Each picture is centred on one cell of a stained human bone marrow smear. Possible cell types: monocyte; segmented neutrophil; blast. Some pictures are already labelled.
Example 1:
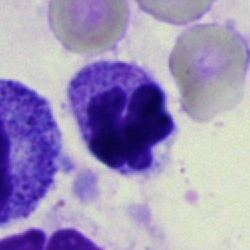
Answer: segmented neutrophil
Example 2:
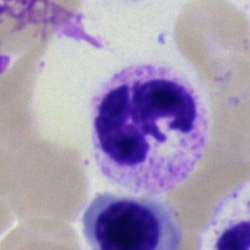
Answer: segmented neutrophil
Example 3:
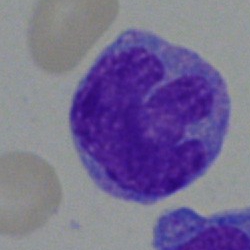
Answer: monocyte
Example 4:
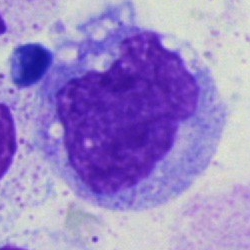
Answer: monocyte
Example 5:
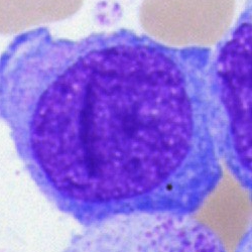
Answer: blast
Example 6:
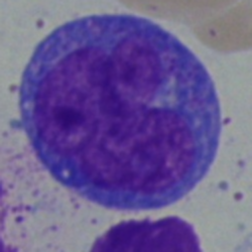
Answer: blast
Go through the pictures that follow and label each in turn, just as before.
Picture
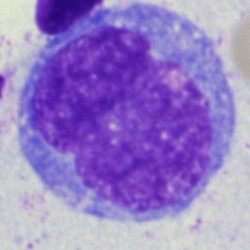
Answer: monocyte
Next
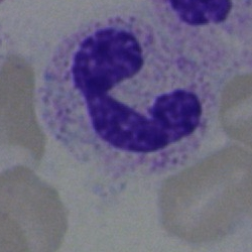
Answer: segmented neutrophil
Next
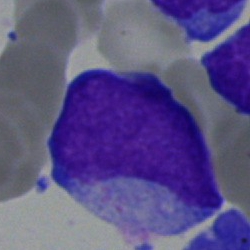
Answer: blast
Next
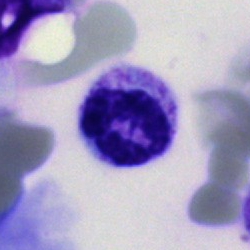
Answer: segmented neutrophil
